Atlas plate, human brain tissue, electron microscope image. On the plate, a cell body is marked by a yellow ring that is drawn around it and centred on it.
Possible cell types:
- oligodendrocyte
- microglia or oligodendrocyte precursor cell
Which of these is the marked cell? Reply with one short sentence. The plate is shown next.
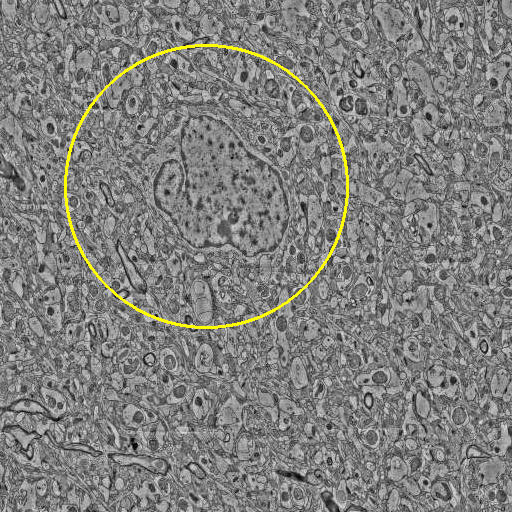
The marked cell is a microglial cell or oligodendrocyte precursor cell.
